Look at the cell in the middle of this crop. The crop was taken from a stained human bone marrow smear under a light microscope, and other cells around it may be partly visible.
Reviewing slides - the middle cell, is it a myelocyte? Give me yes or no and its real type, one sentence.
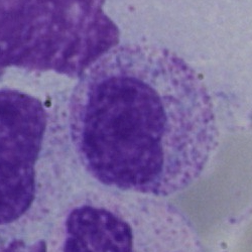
Yes, the cell in the middle of the view is a myelocyte.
